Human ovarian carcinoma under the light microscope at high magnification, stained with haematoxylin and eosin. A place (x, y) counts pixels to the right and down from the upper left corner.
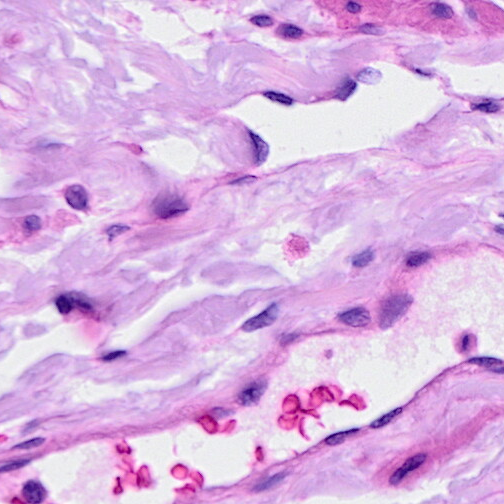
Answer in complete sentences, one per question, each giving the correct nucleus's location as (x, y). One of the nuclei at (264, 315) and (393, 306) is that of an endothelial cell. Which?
Of the two, the nucleus at (393, 306) is the one contained in an endothelial cell.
